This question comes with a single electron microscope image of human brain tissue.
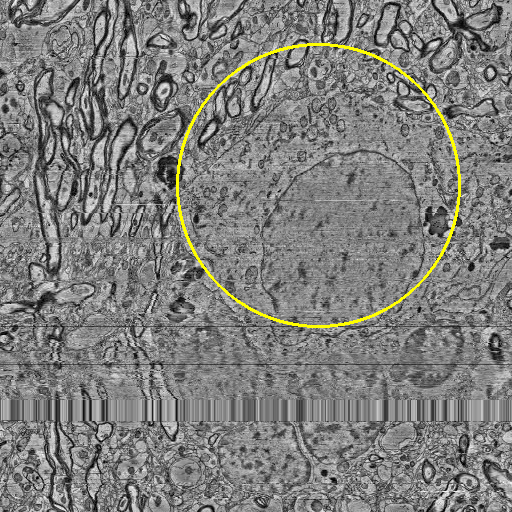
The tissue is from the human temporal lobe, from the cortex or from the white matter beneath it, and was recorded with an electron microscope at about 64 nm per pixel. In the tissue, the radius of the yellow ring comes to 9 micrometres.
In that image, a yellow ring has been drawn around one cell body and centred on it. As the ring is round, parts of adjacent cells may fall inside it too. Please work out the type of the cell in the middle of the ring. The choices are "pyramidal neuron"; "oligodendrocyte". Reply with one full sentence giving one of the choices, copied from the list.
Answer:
Of the choices, a pyramidal neuron is the cell sitting in the middle of the ring.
